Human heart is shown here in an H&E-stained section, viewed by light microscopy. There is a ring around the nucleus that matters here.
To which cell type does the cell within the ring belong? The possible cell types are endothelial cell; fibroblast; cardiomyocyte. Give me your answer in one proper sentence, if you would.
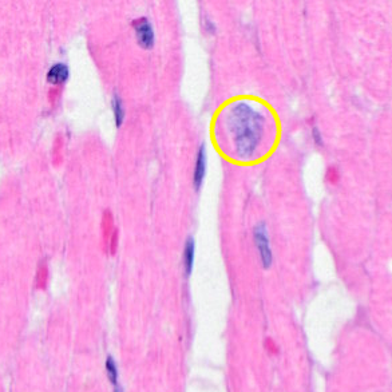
The classification of the cell within the ring is as a cardiomyocyte.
